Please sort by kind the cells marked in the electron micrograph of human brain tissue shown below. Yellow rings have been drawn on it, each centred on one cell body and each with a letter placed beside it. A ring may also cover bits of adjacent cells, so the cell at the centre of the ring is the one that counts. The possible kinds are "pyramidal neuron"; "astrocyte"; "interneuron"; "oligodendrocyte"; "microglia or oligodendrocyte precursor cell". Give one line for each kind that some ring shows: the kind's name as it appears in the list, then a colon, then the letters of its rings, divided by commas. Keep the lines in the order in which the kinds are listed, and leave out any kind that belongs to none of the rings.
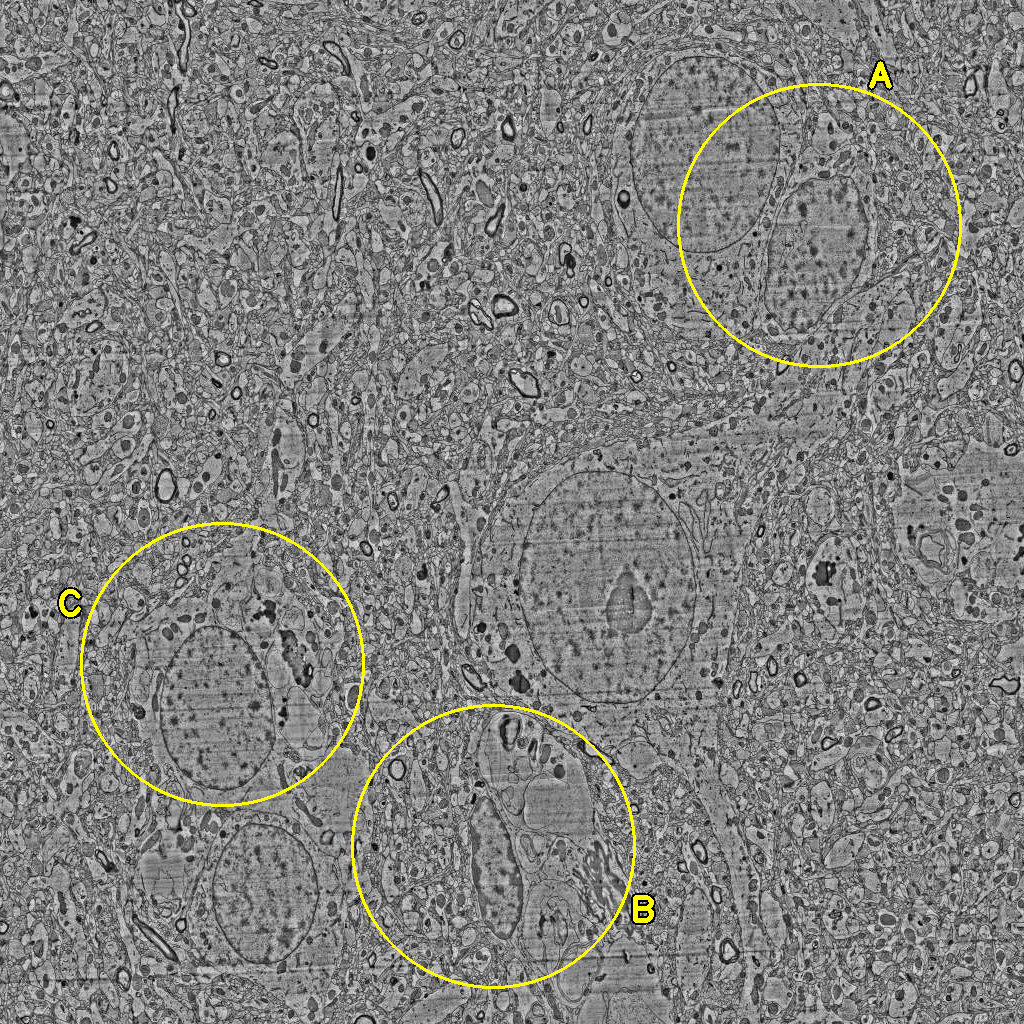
astrocyte: C
interneuron: A
microglia or oligodendrocyte precursor cell: B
